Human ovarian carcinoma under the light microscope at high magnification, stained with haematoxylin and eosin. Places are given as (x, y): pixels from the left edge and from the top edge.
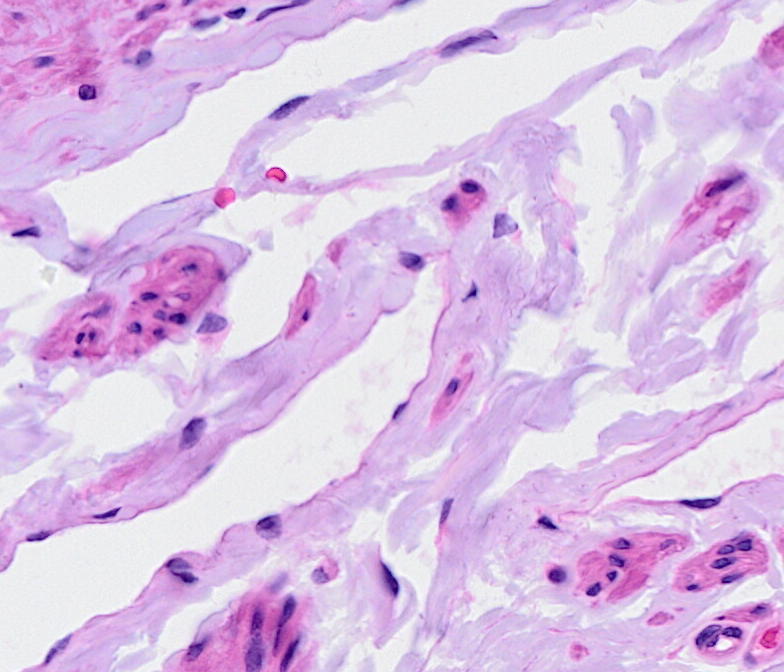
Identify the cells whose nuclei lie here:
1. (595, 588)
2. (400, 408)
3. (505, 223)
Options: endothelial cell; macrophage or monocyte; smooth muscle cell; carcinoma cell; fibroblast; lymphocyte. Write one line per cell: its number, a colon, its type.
1: smooth muscle cell
2: endothelial cell
3: fibroblast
